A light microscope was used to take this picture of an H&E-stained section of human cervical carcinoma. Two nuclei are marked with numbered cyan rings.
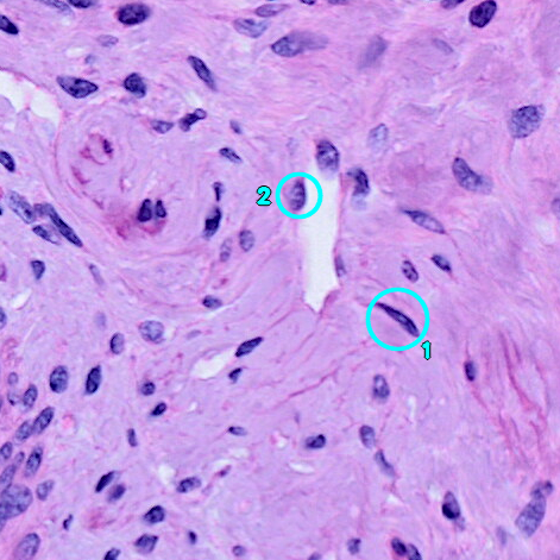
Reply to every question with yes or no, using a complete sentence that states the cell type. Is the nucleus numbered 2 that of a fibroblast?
No, the cell with number 2 is not a fibroblast but an endothelial cell.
